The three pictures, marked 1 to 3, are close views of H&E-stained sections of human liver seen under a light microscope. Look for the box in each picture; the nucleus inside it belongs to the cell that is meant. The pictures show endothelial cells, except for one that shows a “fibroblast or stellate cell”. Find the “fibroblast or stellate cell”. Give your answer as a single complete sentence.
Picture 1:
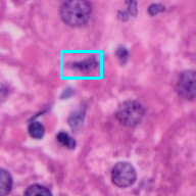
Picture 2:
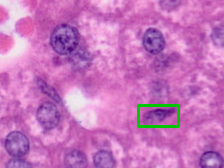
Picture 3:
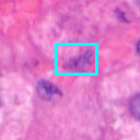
The picture with the “fibroblast or stellate cell” is 2.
